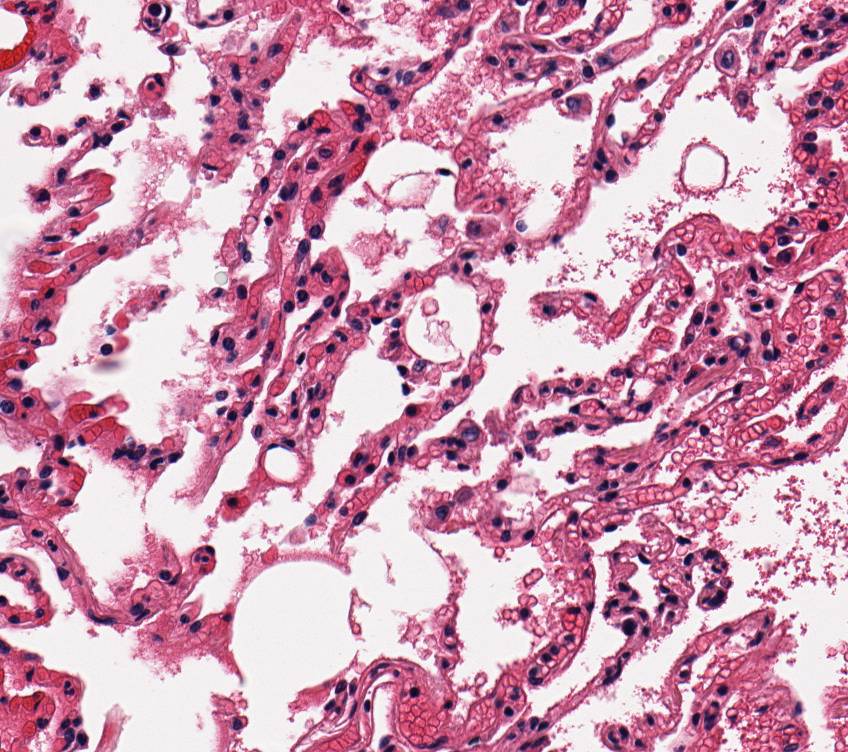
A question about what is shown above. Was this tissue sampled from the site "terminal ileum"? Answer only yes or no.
no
